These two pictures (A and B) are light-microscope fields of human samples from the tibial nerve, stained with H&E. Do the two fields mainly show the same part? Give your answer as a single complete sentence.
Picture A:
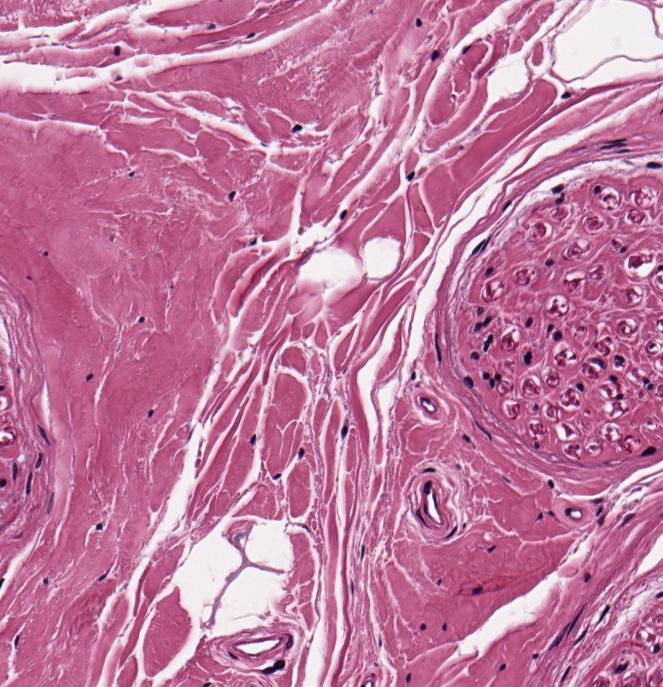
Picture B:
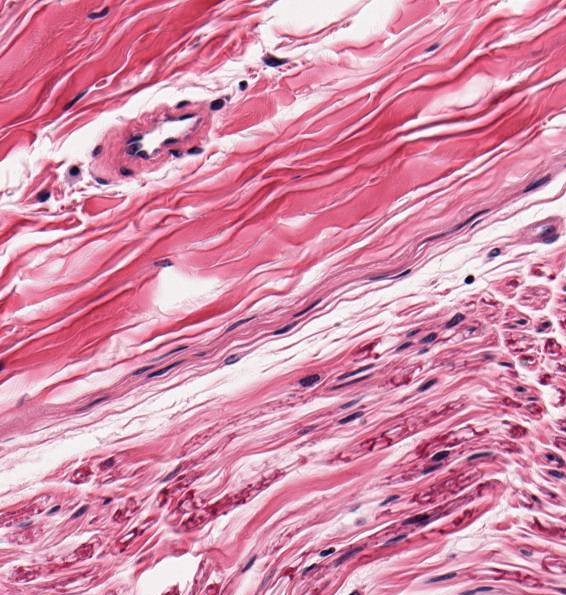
Yes, both mainly show the epineurium.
